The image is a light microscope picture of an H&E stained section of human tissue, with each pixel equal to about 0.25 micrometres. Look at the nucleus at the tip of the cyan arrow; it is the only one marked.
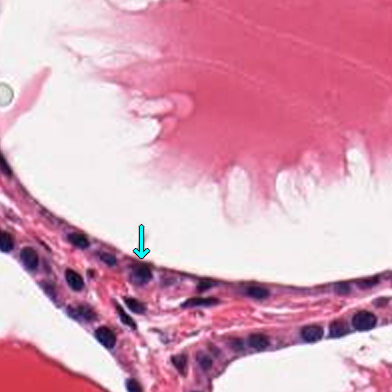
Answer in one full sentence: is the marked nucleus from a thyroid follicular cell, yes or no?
Yes, the marked nucleus is identified as that of a thyroid follicular cell.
